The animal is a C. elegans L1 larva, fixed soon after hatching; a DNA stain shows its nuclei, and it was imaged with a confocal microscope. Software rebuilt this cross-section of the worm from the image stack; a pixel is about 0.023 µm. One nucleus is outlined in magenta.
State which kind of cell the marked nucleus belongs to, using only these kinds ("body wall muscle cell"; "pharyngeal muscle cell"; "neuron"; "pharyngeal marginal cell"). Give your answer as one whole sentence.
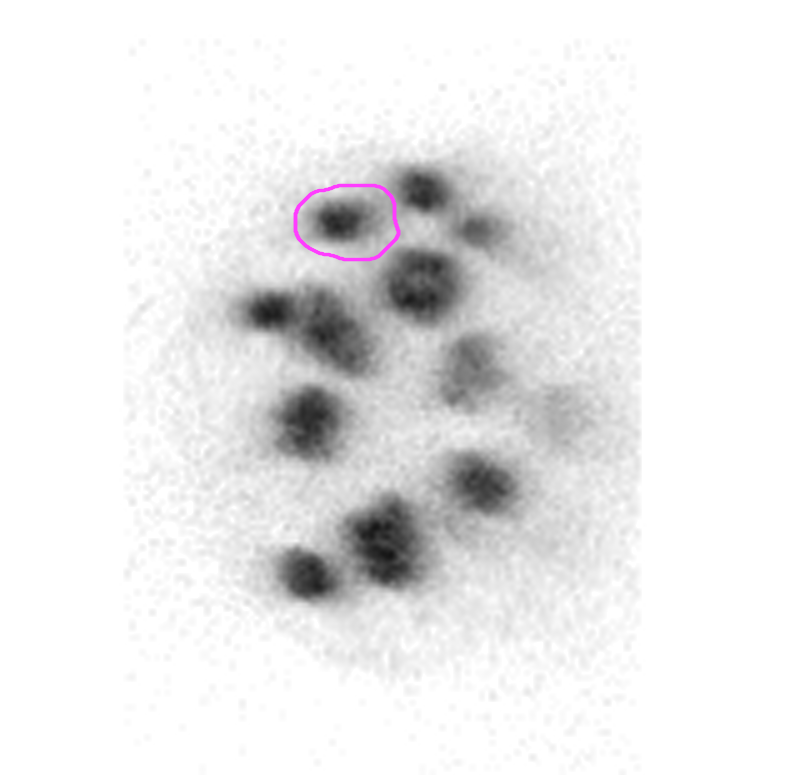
It is the nucleus of a body wall muscle cell.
